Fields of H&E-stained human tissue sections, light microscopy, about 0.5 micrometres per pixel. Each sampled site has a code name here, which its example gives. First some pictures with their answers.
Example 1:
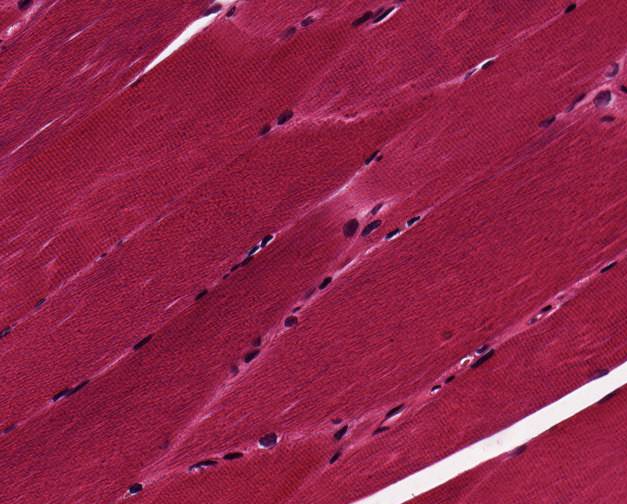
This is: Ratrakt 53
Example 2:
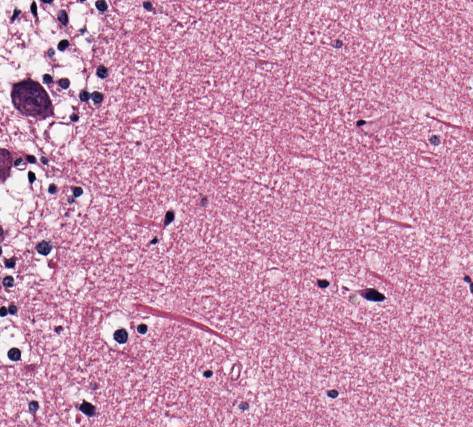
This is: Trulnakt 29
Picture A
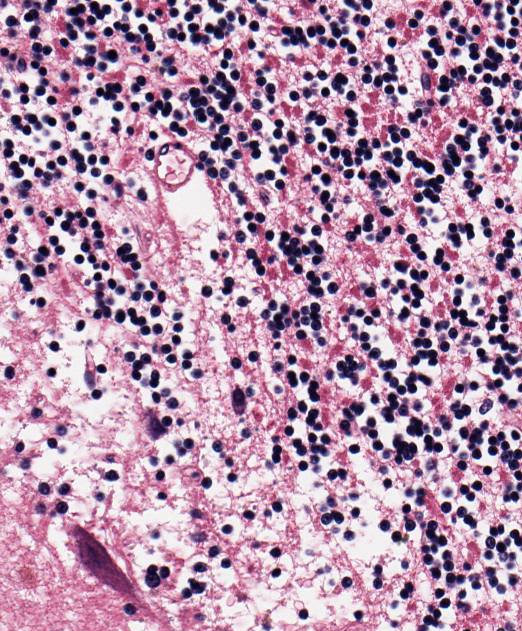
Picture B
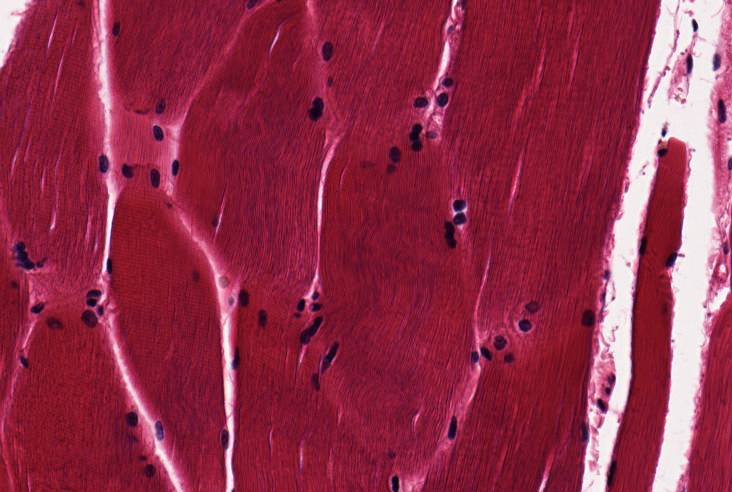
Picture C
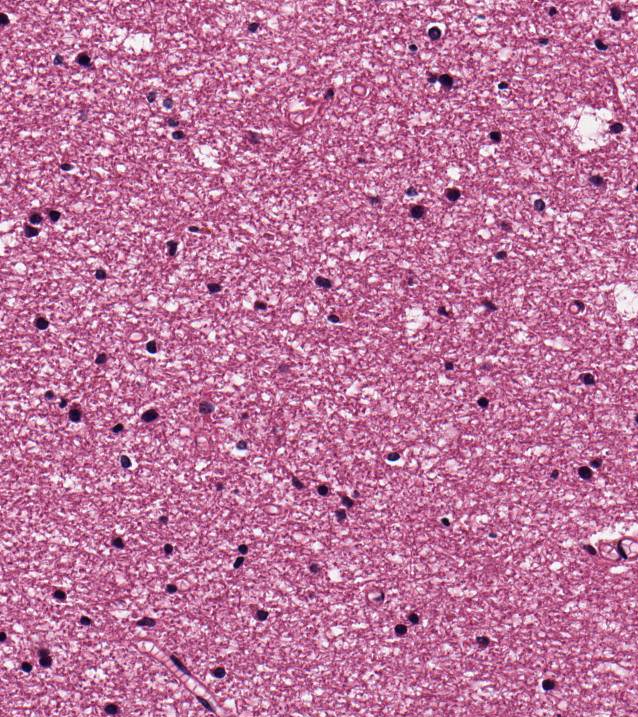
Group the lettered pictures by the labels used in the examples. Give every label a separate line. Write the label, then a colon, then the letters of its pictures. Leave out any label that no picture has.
Ratrakt 53: B
Trulnakt 29: A, C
